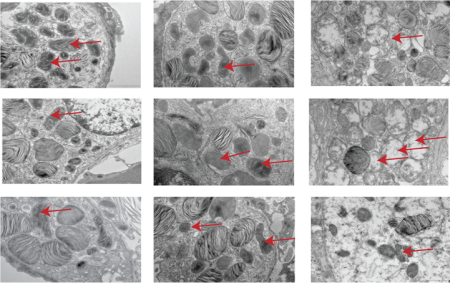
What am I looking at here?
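Transmission electron micrographs of lung tissue show the cytoplasm of cells crowded with organelles. These include oval mitochondria with inner membrane folds and rounded bodies made of concentric, tightly stacked membranes. Red arrows point to individual mitochondria in each image.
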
